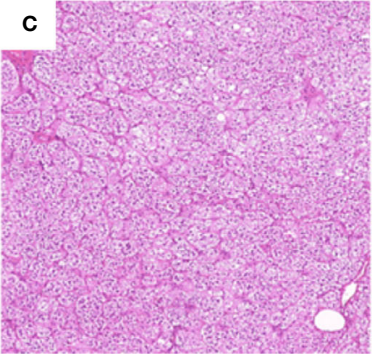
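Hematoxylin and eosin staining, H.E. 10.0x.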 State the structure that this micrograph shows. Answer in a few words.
Nested/fasciculated growth pattern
